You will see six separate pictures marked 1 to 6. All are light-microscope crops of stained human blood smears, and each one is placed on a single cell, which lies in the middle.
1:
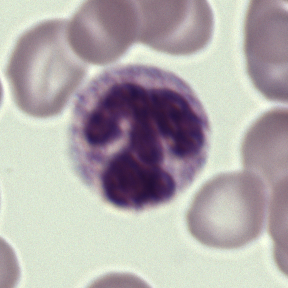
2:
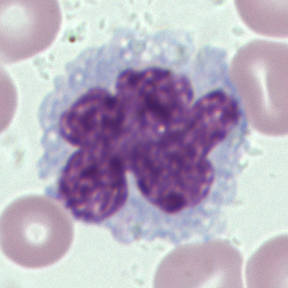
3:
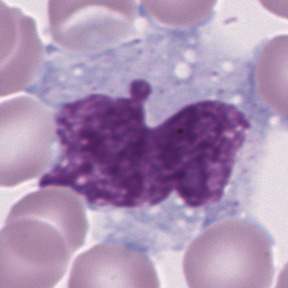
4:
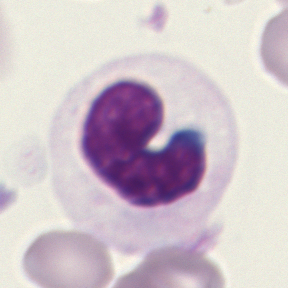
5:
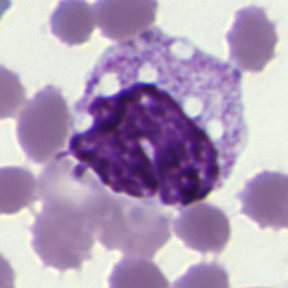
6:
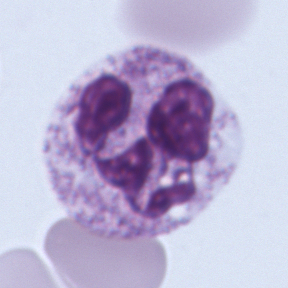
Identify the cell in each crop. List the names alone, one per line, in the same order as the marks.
segmented neutrophil
monocyte
monocyte
band neutrophil
band neutrophil
segmented neutrophil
